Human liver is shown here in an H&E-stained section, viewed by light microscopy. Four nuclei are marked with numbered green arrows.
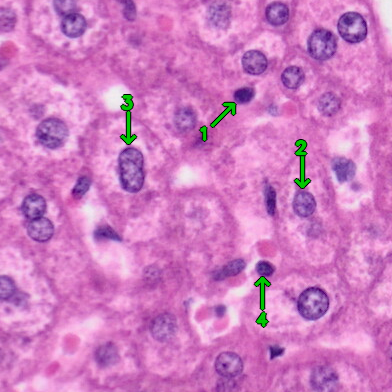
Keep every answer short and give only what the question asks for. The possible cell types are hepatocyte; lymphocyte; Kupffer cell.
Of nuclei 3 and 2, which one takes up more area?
3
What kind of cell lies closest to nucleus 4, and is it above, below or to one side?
a Kupffer cell to the left of nucleus 4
